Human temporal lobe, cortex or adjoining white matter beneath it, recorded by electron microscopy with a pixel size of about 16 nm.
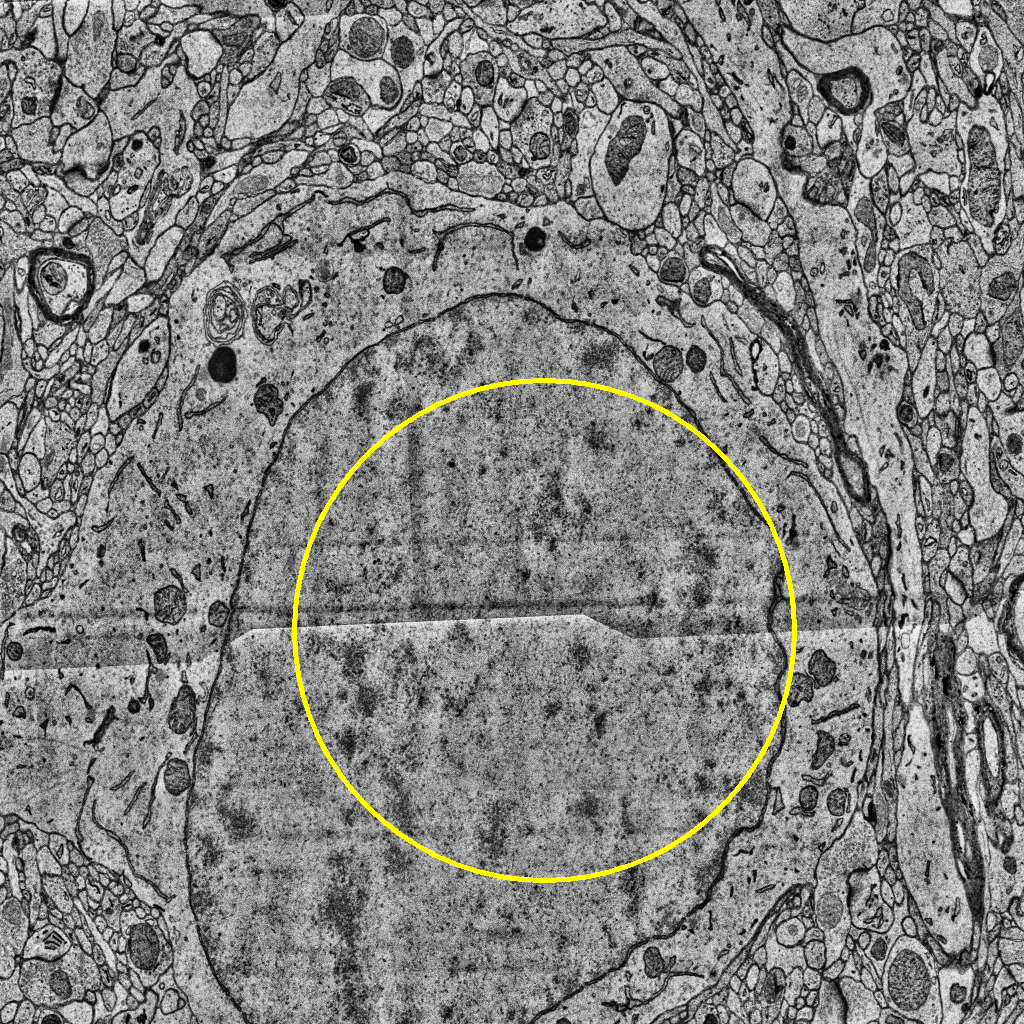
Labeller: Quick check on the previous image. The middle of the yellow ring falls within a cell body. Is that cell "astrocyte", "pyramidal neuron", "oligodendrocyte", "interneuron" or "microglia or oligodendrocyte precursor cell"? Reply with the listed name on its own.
pyramidal neuron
